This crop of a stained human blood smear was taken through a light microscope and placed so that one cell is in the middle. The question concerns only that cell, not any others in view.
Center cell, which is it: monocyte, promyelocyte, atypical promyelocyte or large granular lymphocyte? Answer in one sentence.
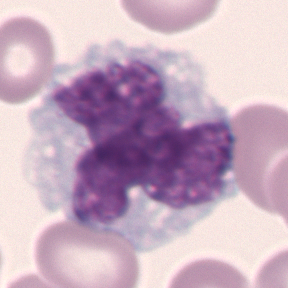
The cell around which this crop is centred is a monocyte.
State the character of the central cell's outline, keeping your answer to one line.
The edge of the cell is broken up by ragged stretches or by outward projections.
